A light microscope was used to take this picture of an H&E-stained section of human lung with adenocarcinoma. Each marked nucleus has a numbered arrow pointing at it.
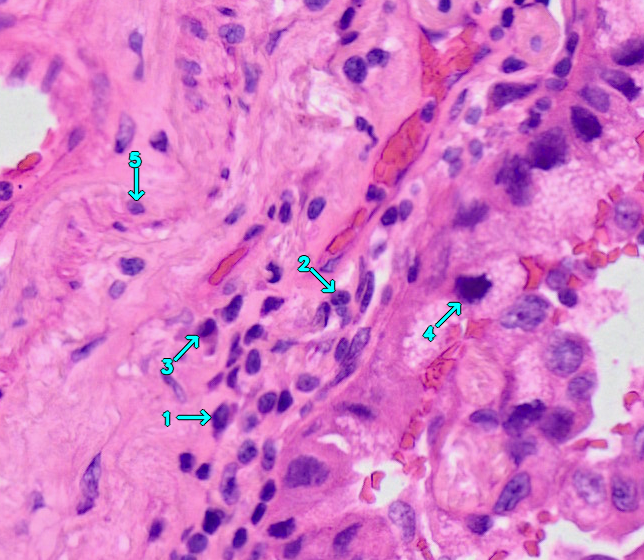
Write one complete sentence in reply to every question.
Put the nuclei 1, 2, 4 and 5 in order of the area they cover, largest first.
Going from the biggest nucleus down to the smallest gives 4, 1, 2, 5.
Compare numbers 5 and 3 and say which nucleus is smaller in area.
It is nucleus 5; nucleus 3 has about 2 times its area.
